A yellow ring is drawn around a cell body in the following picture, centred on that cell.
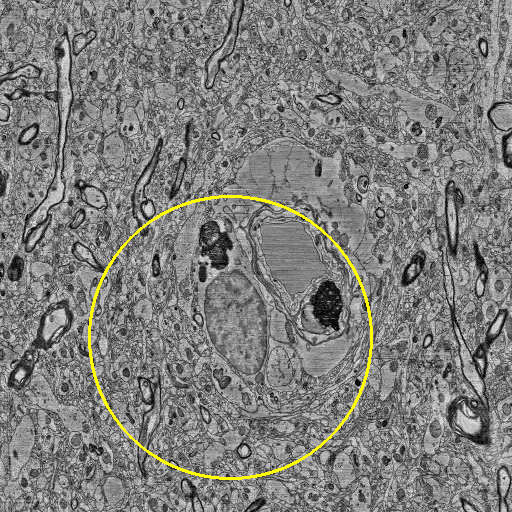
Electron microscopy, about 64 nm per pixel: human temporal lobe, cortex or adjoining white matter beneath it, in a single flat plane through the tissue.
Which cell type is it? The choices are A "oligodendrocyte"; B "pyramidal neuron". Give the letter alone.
A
